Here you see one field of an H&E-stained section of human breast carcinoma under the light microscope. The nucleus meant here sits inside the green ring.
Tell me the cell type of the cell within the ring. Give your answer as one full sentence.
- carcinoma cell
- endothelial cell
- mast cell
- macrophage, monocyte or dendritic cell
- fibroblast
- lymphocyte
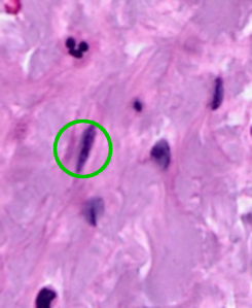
In this tissue sample, the cell within the ring is a fibroblast.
